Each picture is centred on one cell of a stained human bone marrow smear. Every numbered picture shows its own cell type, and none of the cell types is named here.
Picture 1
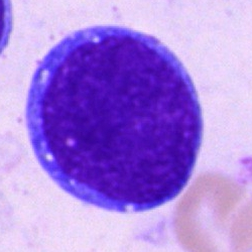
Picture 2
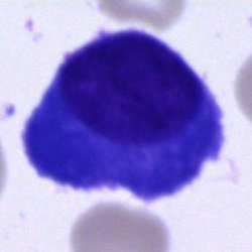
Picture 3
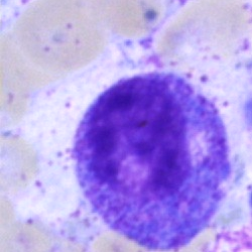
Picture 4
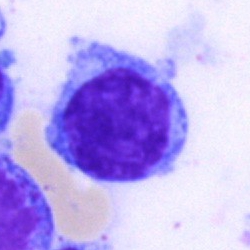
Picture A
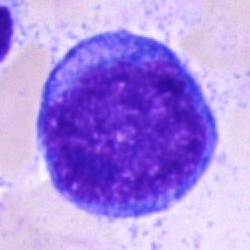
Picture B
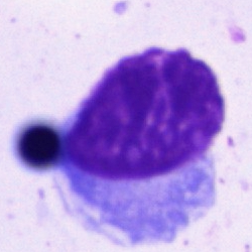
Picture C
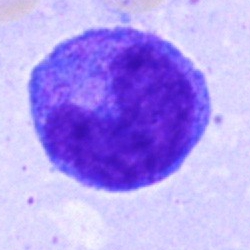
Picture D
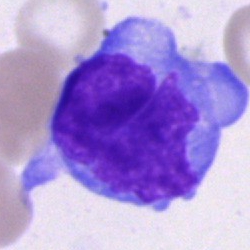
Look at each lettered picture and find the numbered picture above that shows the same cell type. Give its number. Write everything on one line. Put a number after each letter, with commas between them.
A 1, B 2, C 3, D 1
